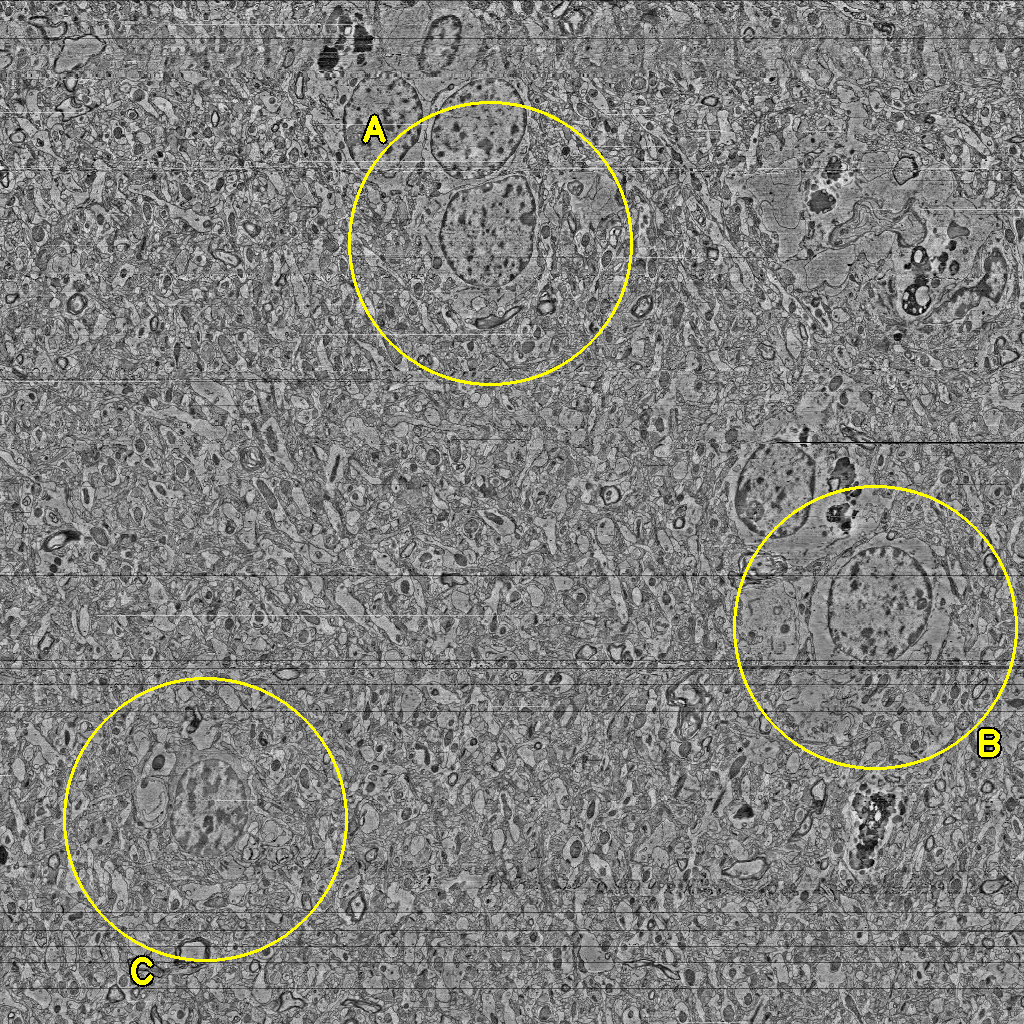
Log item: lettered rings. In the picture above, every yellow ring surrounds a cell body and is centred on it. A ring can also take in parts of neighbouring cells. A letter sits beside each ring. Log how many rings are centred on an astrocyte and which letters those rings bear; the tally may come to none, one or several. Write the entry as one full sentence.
Rings lettered A and B, two altogether, have an astrocyte at the centre of every one of them.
